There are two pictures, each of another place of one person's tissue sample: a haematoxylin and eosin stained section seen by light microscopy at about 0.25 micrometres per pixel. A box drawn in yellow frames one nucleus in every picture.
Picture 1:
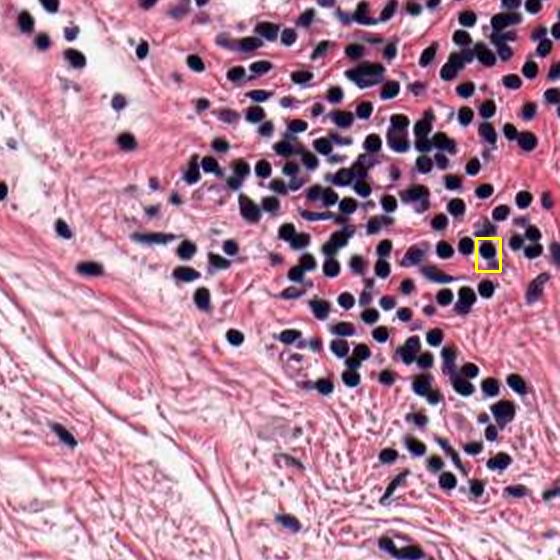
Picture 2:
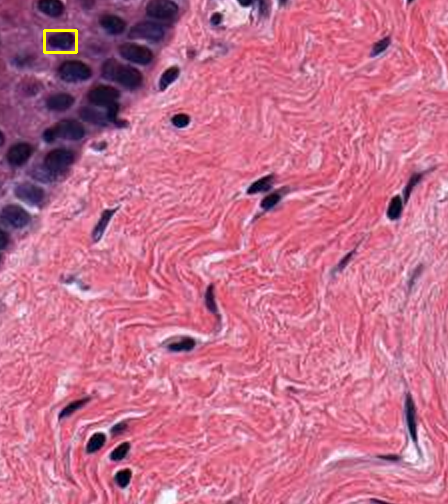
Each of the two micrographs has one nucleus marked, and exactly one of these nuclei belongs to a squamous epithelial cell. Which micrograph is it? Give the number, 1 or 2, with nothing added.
2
